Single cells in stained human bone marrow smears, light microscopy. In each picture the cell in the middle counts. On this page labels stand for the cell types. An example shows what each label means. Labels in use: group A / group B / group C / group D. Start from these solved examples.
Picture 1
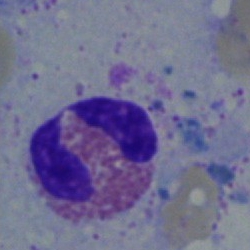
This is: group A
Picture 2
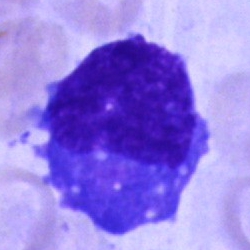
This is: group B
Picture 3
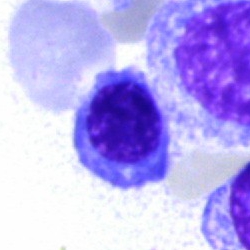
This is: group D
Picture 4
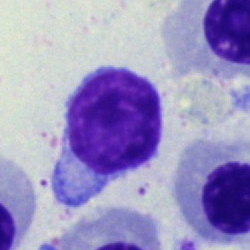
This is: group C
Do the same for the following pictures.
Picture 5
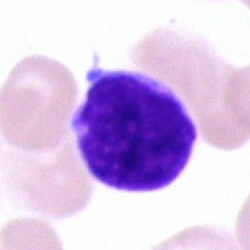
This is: group C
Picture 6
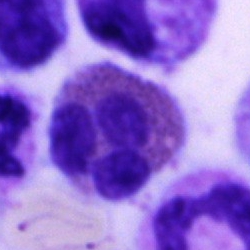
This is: group A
